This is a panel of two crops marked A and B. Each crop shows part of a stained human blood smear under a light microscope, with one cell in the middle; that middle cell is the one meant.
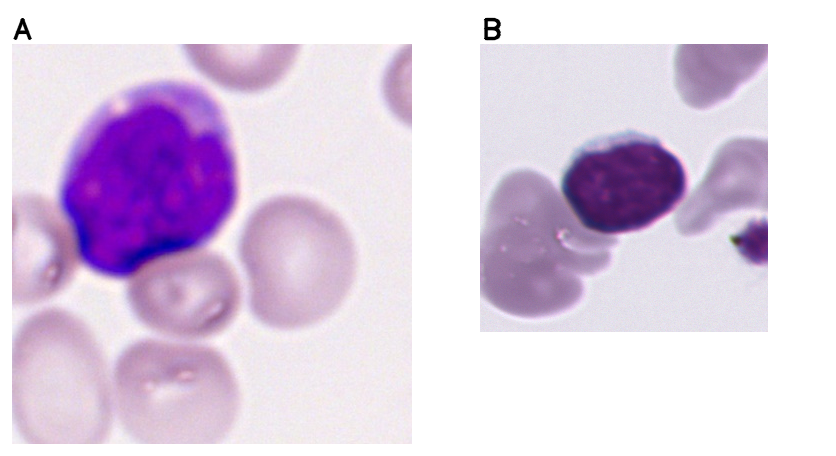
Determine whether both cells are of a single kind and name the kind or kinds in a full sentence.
No, the cells are a blast in crop A and a lymphocyte in crop B.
